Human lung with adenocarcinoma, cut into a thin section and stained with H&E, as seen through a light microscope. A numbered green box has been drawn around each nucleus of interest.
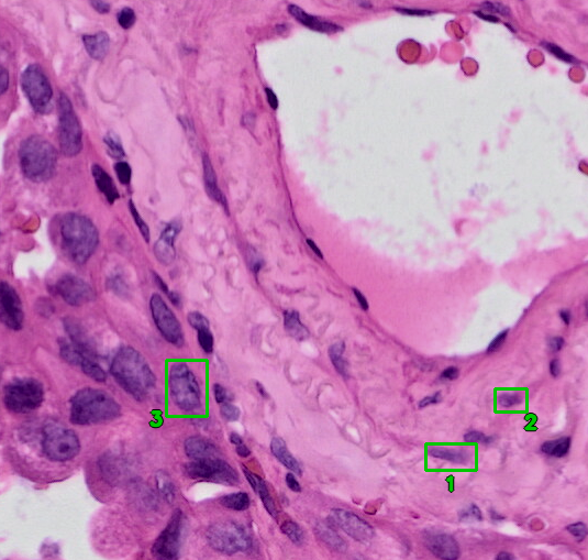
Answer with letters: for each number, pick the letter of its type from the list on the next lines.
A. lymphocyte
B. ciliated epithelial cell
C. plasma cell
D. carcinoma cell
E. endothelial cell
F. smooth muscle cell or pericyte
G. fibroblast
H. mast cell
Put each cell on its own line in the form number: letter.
1: F
2: F
3: D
